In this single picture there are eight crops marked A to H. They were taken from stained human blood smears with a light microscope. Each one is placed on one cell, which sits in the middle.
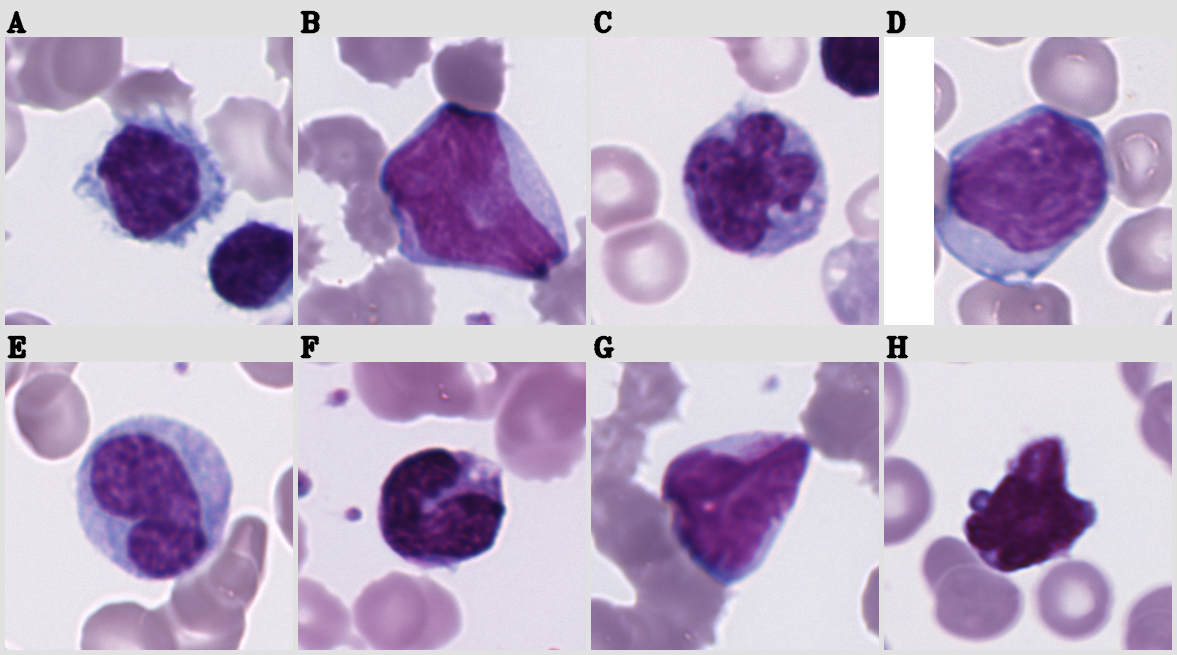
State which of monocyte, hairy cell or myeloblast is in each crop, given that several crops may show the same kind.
A: hairy cell
B: myeloblast
C: monocyte
D: myeloblast
E: monocyte
F: monocyte
G: myeloblast
H: myeloblast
